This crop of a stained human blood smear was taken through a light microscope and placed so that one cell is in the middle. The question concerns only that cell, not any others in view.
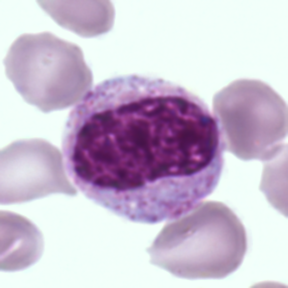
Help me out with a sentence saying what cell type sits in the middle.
At the middle of the frame sits a metamyelocyte.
